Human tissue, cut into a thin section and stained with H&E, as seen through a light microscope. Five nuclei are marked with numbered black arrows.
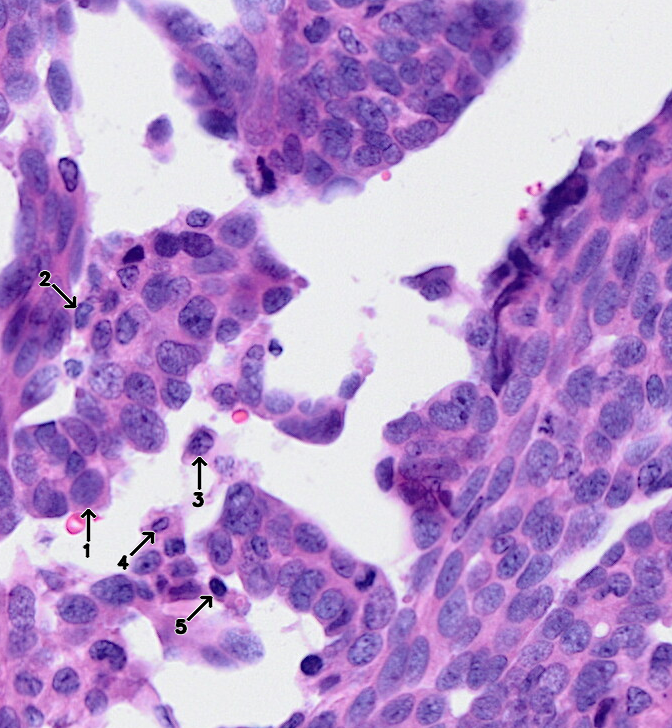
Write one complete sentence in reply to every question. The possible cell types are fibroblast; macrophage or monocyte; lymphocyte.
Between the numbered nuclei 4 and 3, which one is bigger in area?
Number 3 is larger; its area is about 3 times that of number 4.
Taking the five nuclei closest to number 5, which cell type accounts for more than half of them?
Macrophages or monocytes account for more than half of the five nuclei nearest to number 5.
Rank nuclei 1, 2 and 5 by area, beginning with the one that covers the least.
From smallest to largest, the order is 5, 2, 1.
